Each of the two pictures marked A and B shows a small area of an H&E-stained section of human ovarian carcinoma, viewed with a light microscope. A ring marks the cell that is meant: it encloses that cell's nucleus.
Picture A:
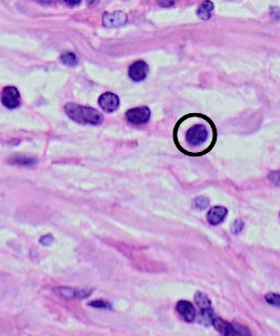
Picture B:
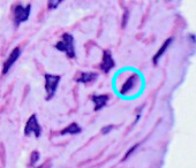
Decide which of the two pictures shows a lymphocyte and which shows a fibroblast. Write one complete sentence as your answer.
The cell in picture A is a lymphocyte, and the one in picture B is a fibroblast.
